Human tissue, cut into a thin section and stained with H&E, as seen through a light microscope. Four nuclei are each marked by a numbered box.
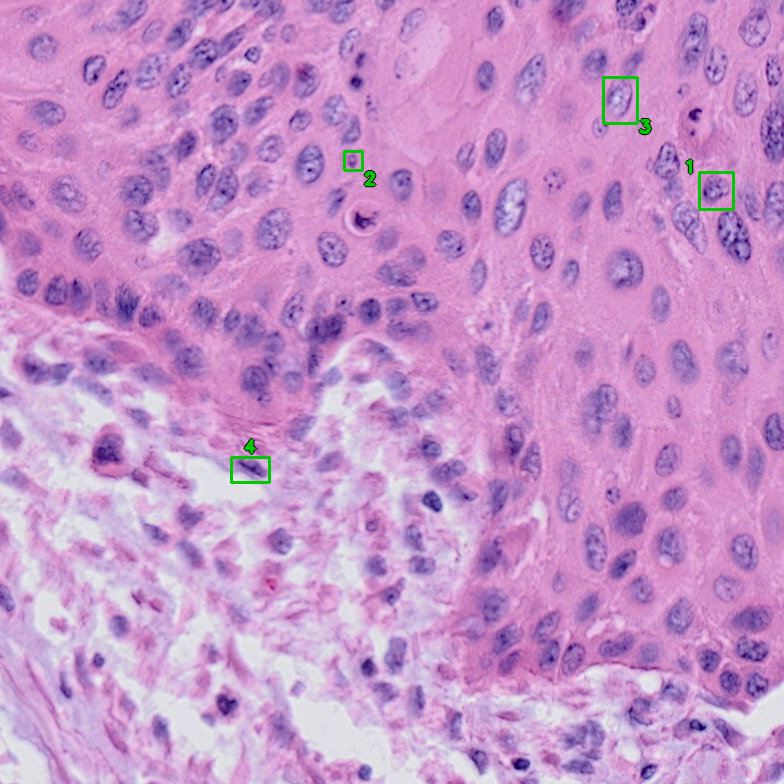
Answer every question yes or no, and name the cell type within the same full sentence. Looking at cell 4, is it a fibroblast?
Yes, the cell with number 4 is a fibroblast.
